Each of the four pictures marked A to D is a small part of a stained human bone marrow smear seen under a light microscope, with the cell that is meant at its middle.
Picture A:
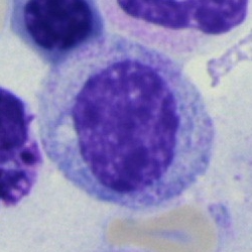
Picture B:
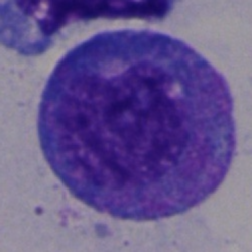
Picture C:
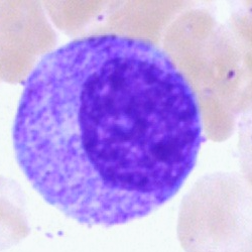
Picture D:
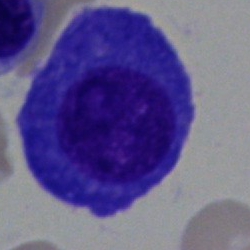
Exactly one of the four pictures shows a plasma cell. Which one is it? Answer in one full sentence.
It is picture D that shows the plasma cell.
